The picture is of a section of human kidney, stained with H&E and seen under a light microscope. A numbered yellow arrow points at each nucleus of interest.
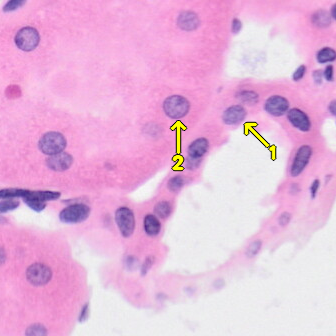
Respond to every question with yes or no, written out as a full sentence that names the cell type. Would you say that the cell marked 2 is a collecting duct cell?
No, the marker 2 sits on a proximal tubule cell, not on a collecting duct cell.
